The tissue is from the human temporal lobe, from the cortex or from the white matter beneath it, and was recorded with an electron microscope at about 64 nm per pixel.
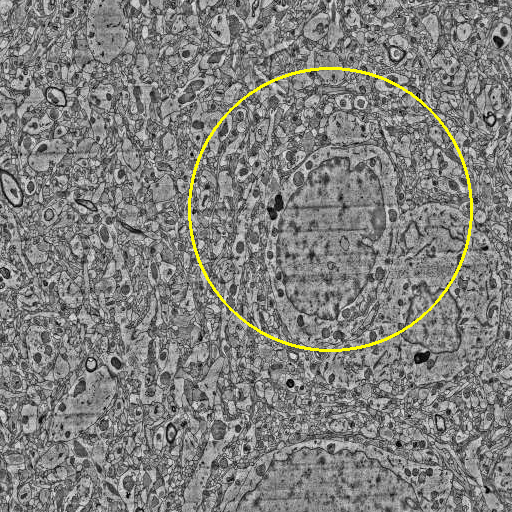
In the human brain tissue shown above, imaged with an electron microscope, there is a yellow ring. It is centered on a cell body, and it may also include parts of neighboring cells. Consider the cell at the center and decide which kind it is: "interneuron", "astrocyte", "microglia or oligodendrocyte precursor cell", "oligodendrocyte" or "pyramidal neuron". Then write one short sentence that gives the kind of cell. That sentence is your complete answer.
This centered cell body is that of an interneuron.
